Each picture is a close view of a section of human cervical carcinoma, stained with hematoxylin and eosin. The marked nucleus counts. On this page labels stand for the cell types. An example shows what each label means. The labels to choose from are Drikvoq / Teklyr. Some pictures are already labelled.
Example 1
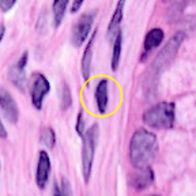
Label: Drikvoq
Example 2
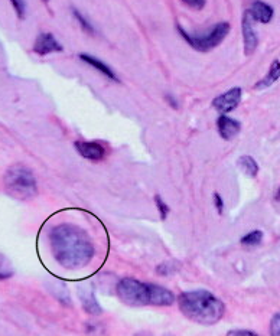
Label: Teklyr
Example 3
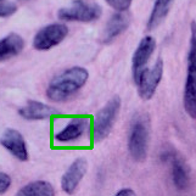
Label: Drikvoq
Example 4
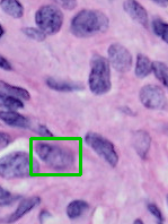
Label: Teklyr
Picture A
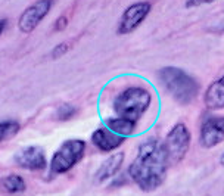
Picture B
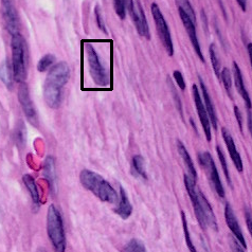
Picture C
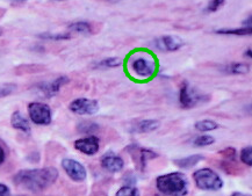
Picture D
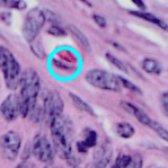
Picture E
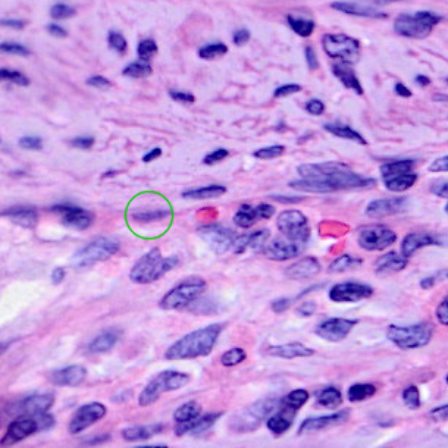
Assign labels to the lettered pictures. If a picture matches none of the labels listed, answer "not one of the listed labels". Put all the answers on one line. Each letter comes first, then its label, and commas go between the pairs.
A Teklyr, B Drikvoq, C not one of the listed labels, D Teklyr, E Teklyr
